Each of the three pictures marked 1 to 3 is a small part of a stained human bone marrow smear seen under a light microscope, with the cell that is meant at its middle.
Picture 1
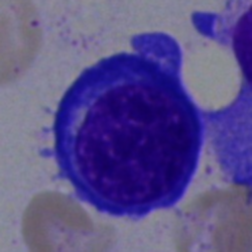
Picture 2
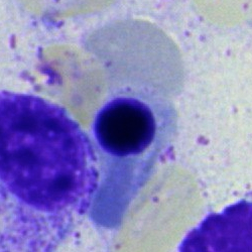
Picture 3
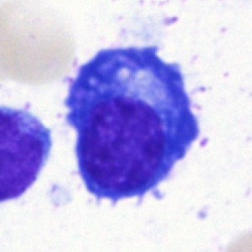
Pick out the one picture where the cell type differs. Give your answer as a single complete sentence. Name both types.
Picture 3 differs, because its cell is a plasma cell and the rest are erythroblasts.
